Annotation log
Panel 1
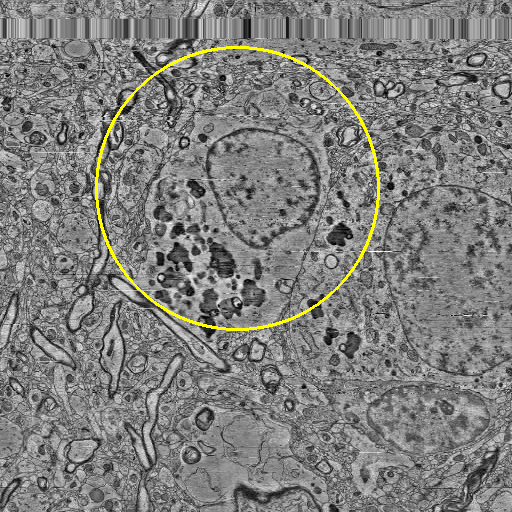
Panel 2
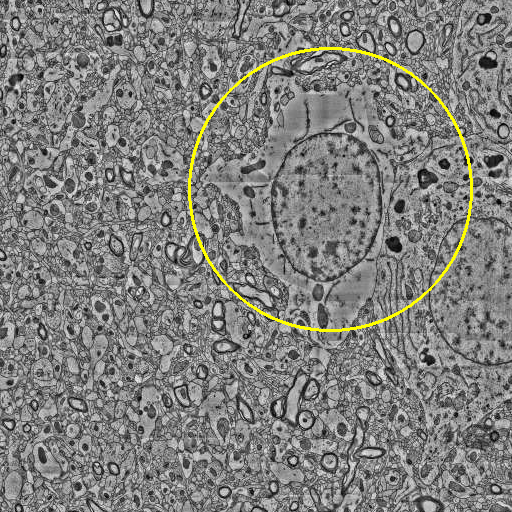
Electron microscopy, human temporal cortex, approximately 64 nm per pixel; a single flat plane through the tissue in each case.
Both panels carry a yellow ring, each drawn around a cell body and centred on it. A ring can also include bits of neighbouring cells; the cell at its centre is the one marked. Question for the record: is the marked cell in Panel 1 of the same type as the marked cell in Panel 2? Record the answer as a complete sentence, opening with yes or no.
Yes, the marked cells in Panel 1 and Panel 2 are of the same type.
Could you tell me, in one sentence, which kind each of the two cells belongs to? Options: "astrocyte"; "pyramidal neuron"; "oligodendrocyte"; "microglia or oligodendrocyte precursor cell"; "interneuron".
Each cell at the centre of a ring is an astrocyte.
